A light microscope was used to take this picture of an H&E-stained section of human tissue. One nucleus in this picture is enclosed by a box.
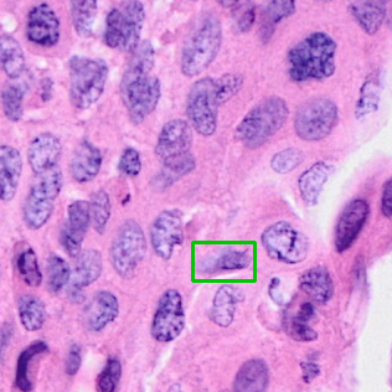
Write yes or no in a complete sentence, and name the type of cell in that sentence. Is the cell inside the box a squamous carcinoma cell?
Yes, it is as a squamous carcinoma cell that the cell inside the box is classified.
